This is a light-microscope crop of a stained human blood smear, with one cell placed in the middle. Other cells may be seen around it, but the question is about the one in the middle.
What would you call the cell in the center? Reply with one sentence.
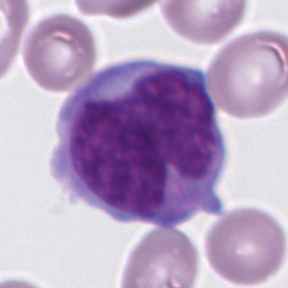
The middle position in this crop is taken by an atypical promyelocyte.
